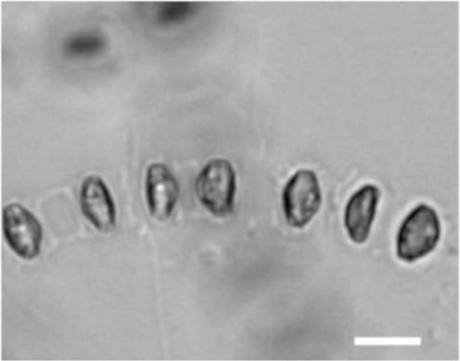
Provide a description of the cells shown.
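A colony of a chain-forming diatom in which the vegetative cells have turned into resting spores, still lying in a curved chain. The spores are oval to lemon-shaped, smaller than the original cells and dense, with dark granular contents. Faint pale outlines of the former cell frames remain around and between them, and a few thin bristles are still visible.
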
